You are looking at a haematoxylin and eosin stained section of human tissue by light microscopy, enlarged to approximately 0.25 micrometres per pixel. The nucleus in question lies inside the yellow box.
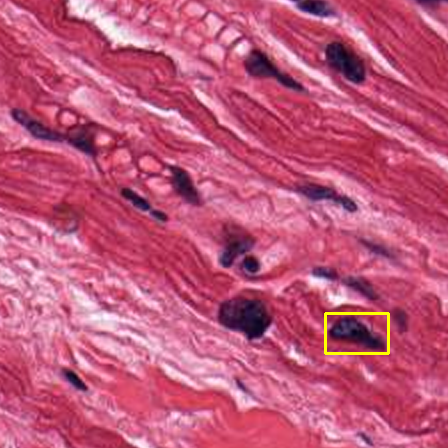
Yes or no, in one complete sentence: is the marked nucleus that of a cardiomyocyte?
Yes, the cell whose nucleus is marked is a cardiomyocyte.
